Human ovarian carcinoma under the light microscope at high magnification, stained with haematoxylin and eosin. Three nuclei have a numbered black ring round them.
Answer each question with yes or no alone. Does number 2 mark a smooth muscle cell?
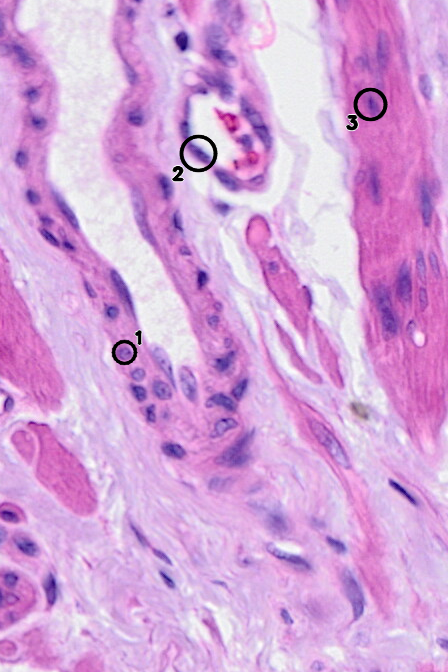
no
